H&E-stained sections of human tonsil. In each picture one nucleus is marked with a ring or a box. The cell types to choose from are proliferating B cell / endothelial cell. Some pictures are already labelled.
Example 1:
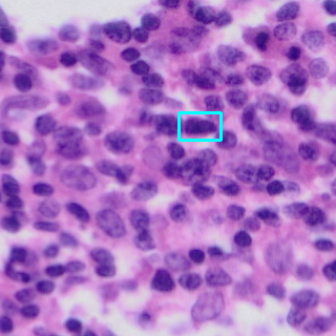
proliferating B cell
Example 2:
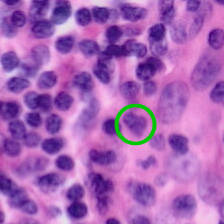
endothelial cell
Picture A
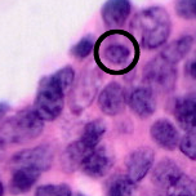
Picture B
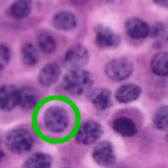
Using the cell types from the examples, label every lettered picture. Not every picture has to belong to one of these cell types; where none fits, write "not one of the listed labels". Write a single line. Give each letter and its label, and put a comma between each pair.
A proliferating B cell, B not one of the listed labels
